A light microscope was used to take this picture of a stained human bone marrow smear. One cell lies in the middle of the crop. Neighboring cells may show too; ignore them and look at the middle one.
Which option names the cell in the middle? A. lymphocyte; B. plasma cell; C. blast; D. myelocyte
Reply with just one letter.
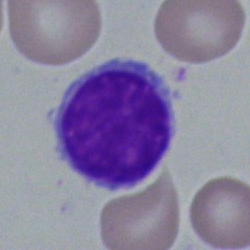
A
